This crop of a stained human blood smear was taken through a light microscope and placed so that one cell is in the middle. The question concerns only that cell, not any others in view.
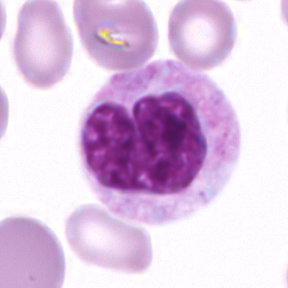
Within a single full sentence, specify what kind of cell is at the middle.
The central cell shown in this smear crop is a band neutrophil.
